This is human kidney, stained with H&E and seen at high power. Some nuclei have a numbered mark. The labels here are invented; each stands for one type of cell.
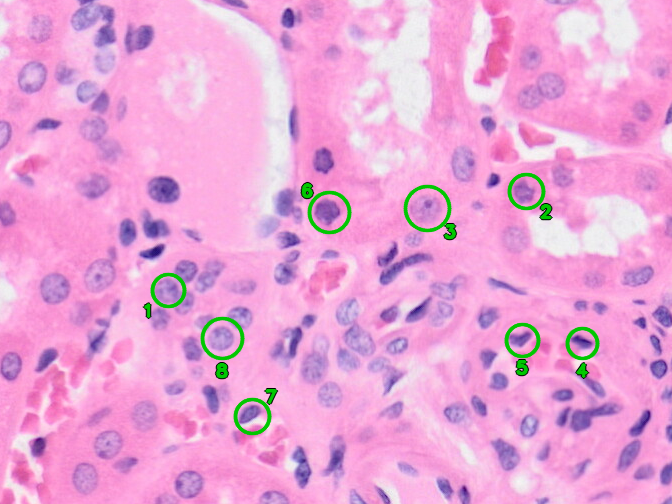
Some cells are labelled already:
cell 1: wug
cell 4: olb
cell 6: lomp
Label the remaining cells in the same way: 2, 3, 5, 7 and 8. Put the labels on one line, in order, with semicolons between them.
lomp; lomp; olb; olb; wug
